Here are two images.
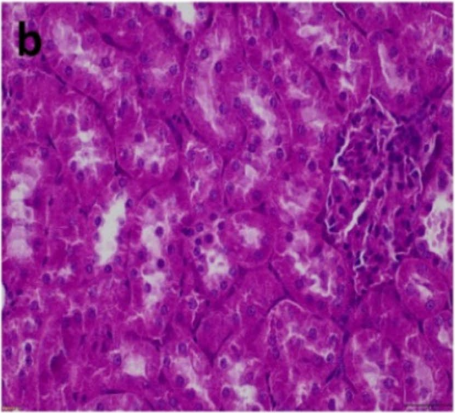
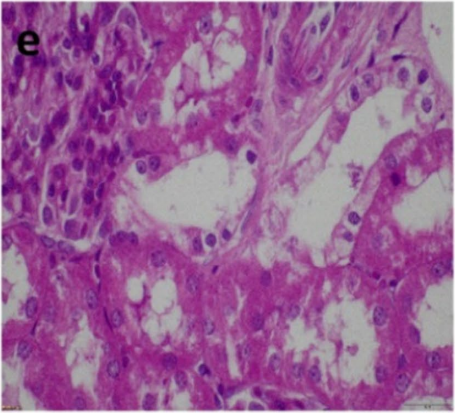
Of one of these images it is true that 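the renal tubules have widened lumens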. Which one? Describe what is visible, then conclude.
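Second image: tubules show large open clear lumens with thinned lining. First image: tubules are tightly packed with narrow lumens and tall cuboidal lining.
Hence: the second image.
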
